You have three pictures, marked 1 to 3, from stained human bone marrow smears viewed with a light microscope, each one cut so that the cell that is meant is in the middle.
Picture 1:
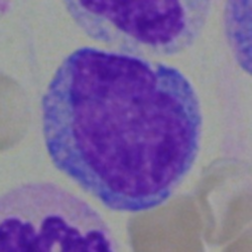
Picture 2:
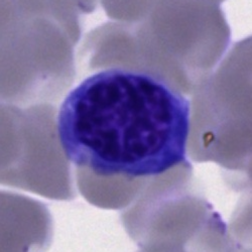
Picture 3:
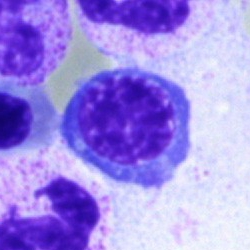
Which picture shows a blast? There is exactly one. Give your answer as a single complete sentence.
Picture 1 shows the blast.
